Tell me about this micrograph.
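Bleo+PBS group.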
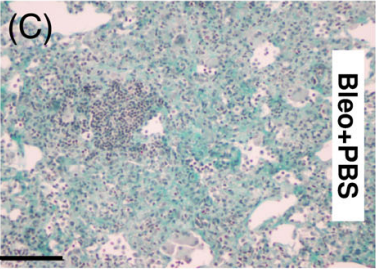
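Lung parenchyma in which the alveolar architecture is largely lost. Most of the field is filled by dense tissue with many dark nuclei set in green-stained matrix. Only a few small, irregular pale air spaces remain. A compact cluster of closely packed dark nuclei lies at the left. The septa that remain are broad rather than thin.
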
